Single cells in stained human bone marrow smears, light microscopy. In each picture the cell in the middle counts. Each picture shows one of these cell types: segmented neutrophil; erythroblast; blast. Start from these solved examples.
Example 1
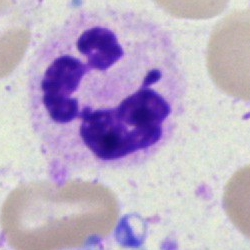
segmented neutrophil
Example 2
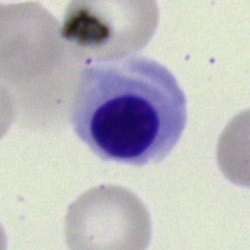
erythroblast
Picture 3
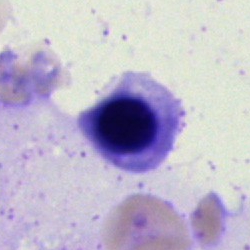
erythroblast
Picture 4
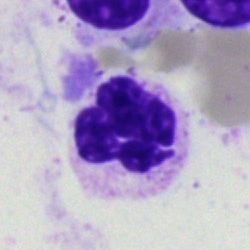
segmented neutrophil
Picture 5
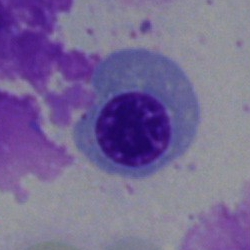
erythroblast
